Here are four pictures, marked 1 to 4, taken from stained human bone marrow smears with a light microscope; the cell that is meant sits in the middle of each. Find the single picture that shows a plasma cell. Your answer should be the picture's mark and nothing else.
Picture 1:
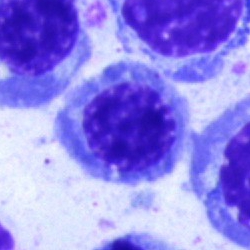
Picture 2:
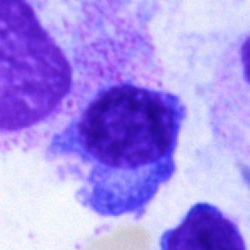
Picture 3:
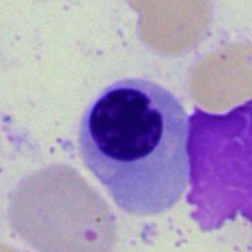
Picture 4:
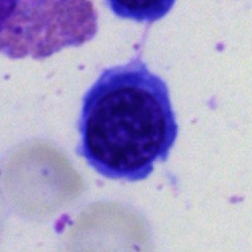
2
